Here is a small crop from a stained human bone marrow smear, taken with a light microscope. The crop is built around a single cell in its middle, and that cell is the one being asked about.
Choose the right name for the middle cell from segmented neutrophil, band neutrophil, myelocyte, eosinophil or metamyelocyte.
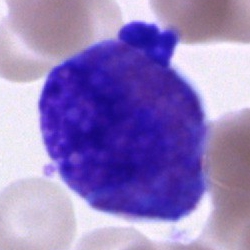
eosinophil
